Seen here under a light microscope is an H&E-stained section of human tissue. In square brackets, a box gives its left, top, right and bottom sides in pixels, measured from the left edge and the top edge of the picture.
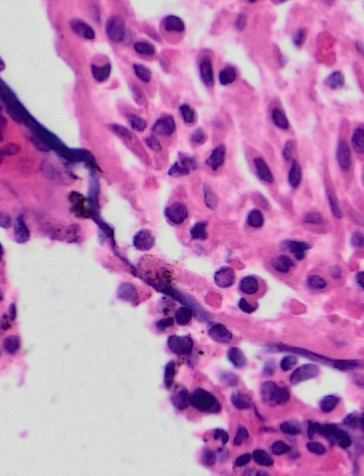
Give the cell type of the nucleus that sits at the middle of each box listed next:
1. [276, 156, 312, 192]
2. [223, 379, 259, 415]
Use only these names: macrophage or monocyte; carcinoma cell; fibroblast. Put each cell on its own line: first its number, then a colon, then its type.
1: fibroblast
2: carcinoma cell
